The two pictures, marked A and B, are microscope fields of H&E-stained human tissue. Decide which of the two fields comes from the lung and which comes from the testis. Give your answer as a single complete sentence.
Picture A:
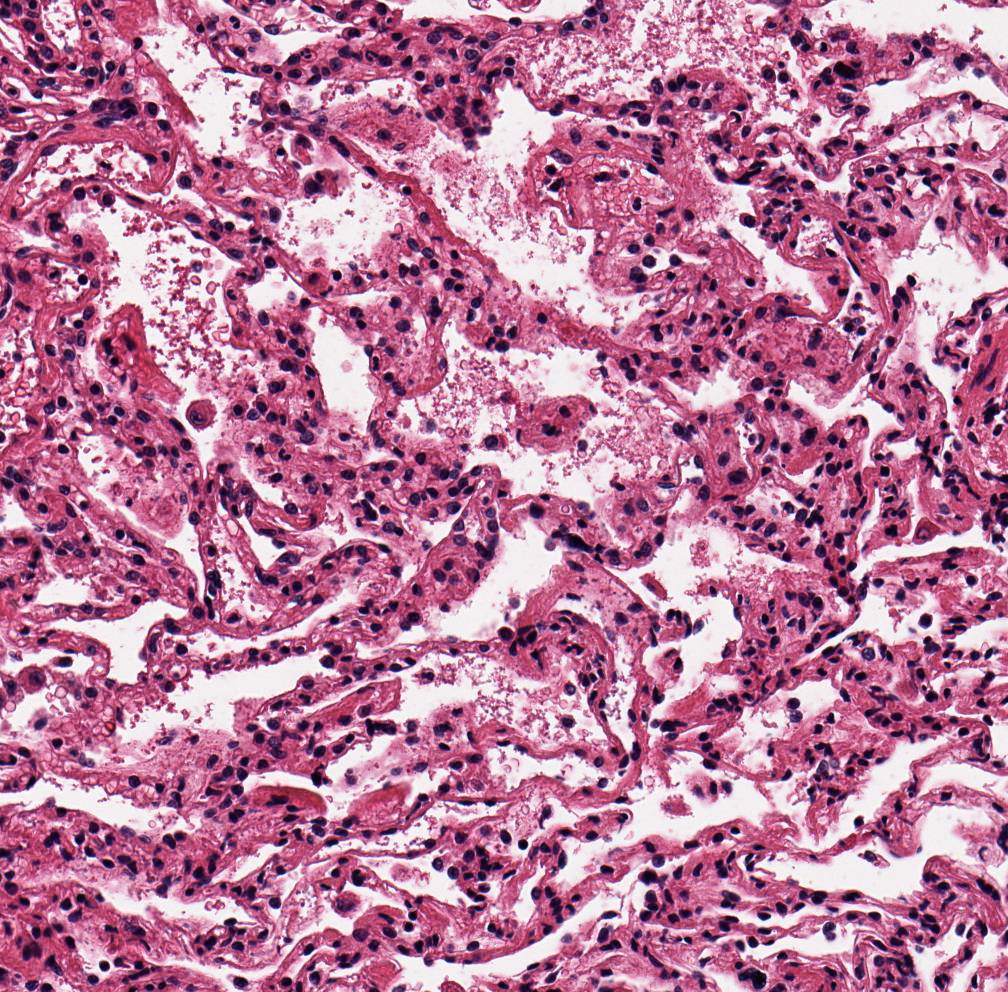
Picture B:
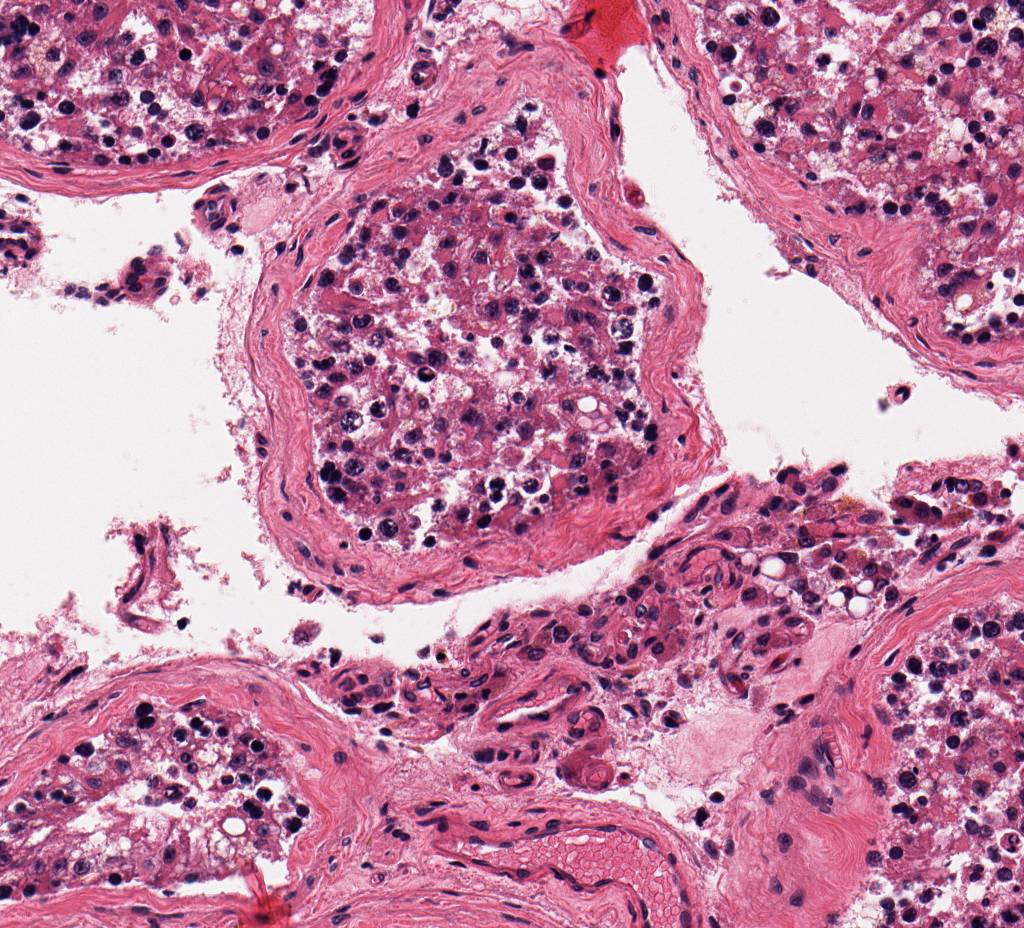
Picture B comes from the testis, while picture A comes from the lung.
